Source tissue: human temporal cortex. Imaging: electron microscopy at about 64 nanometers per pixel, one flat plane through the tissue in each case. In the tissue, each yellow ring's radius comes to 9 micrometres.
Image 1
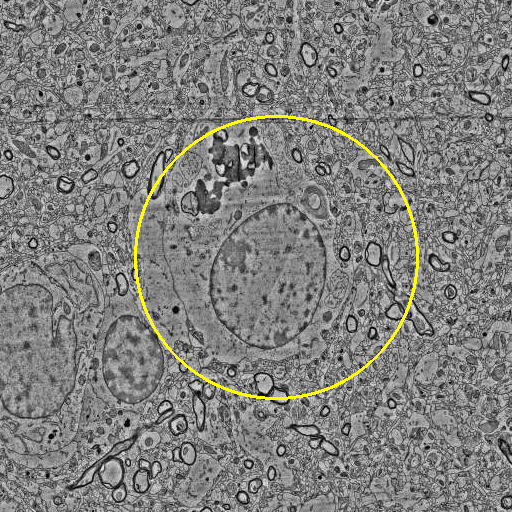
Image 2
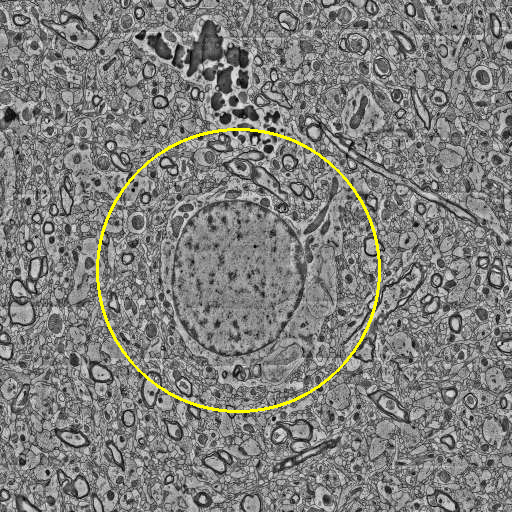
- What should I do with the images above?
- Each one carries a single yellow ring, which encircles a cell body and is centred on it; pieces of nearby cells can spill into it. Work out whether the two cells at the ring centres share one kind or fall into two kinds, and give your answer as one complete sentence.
The ring-centre cells of Image 1 and Image 2 share one kind.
